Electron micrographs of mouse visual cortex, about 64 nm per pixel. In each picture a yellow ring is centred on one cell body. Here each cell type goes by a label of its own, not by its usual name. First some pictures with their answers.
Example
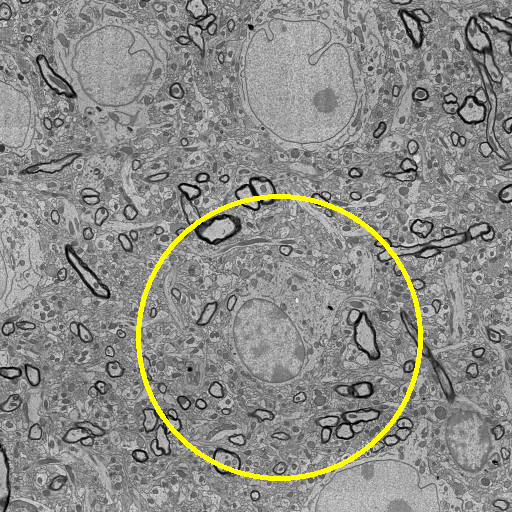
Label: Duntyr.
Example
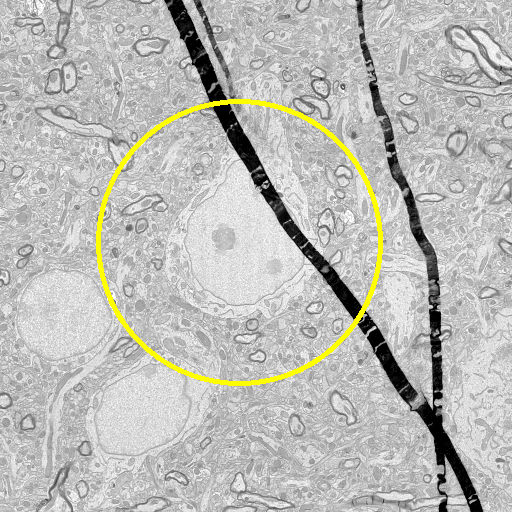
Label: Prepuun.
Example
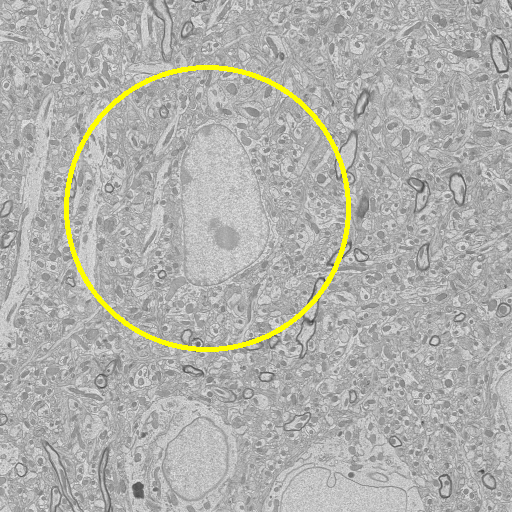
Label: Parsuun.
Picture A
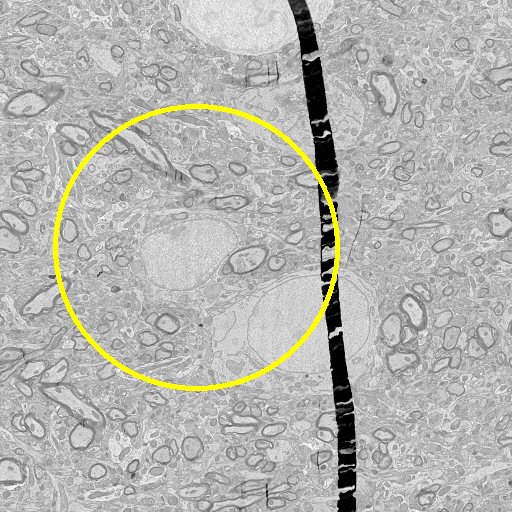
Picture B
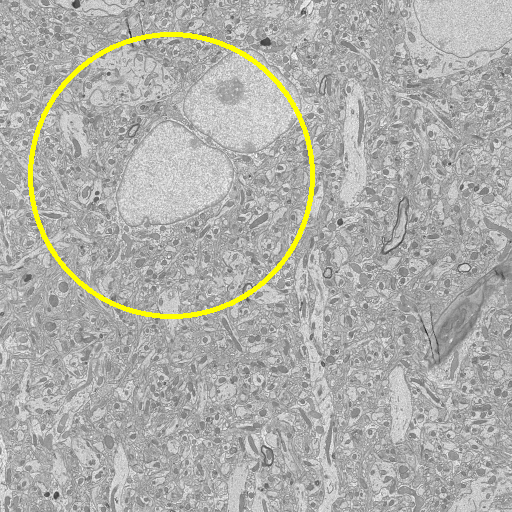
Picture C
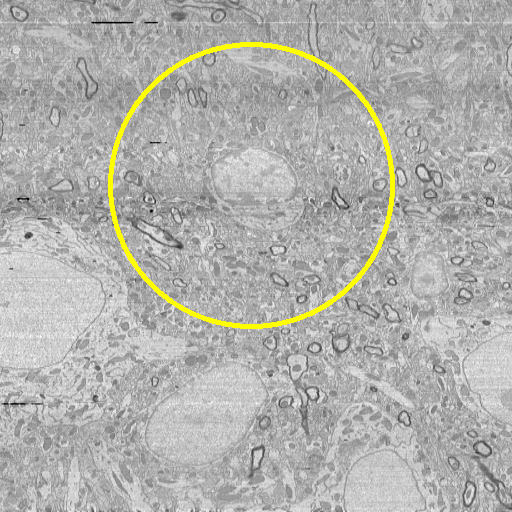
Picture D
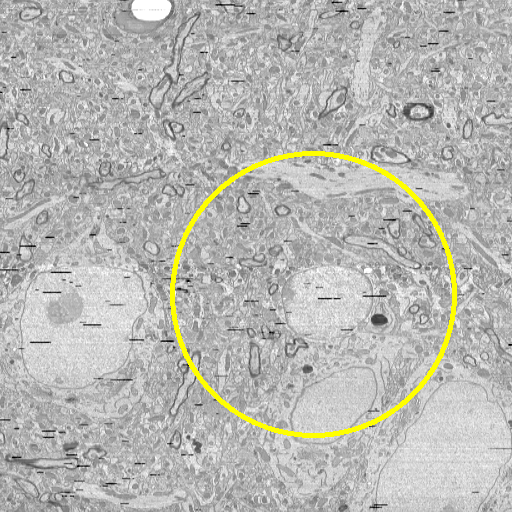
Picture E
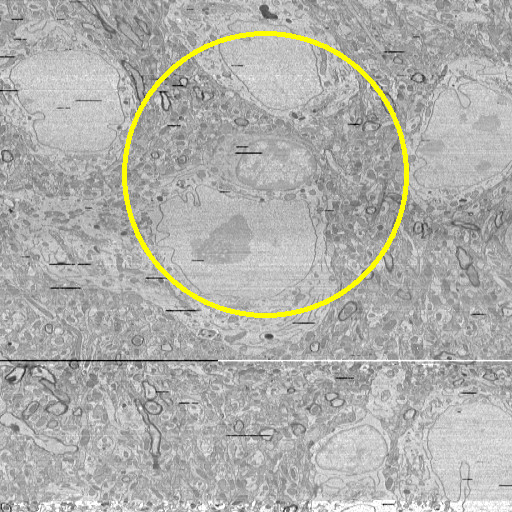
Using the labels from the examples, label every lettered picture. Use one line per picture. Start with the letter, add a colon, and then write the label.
A: Parsuun.
B: Parsuun.
C: Duntyr.
D: Parsuun.
E: Duntyr.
